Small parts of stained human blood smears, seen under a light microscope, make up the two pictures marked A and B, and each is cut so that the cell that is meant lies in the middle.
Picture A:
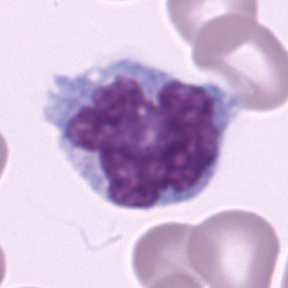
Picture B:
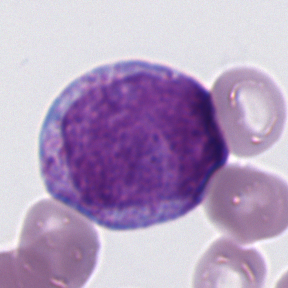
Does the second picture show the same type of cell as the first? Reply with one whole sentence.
No, they differ: the cell is a monocyte in picture A and an atypical promyelocyte in picture B.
